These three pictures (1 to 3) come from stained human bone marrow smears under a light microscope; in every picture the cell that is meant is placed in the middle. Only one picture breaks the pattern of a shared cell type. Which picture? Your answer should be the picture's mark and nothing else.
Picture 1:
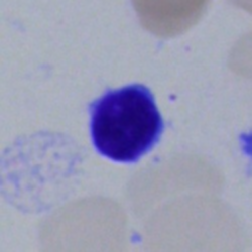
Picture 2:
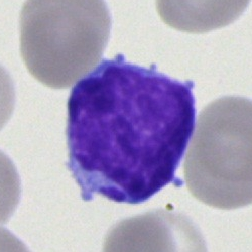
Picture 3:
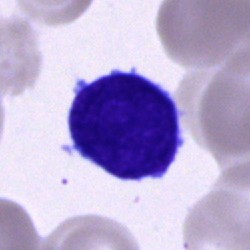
2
